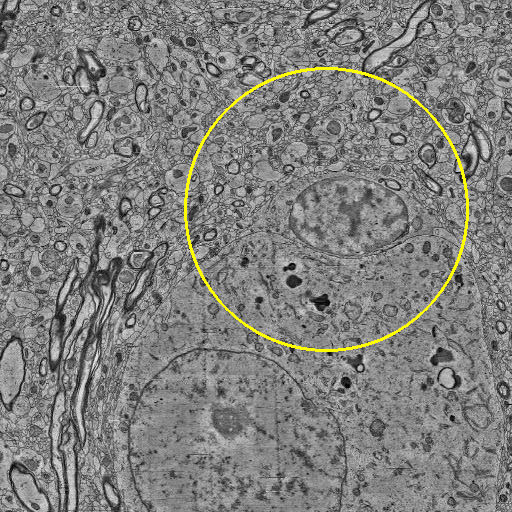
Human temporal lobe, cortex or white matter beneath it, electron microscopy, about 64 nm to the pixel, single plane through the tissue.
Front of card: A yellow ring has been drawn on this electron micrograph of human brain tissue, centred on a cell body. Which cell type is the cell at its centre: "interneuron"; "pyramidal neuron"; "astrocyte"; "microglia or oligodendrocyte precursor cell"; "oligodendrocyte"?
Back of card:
oligodendrocyte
